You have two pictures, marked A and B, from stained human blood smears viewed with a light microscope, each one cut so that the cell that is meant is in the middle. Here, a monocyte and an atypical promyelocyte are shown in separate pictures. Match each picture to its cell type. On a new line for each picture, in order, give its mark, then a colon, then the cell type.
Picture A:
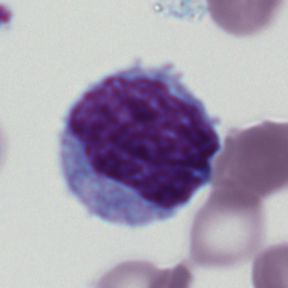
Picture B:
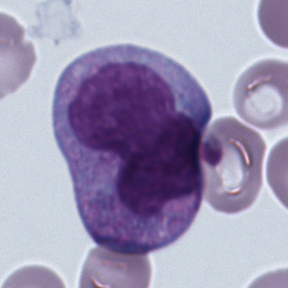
A: monocyte
B: atypical promyelocyte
